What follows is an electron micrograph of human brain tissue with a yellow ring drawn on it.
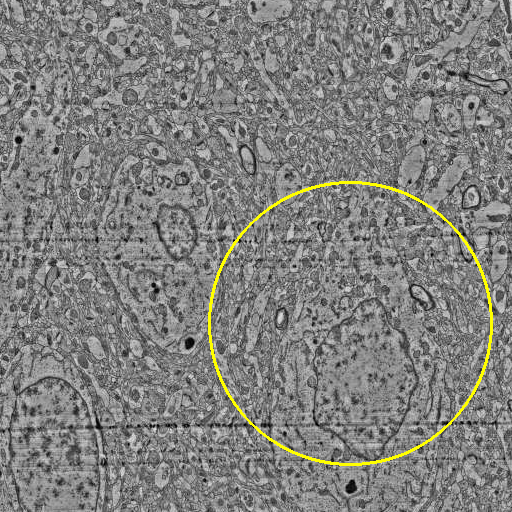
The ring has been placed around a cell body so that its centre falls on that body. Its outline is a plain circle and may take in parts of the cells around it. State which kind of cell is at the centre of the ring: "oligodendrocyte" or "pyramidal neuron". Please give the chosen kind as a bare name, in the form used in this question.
pyramidal neuron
